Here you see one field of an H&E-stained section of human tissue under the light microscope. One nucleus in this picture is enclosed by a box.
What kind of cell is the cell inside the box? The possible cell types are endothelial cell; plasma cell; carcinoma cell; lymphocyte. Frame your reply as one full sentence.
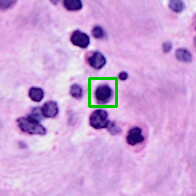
For cell typing purposes, the cell inside the box is a lymphocyte.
